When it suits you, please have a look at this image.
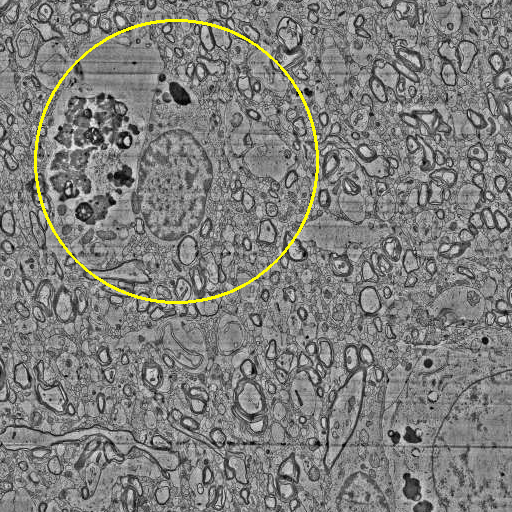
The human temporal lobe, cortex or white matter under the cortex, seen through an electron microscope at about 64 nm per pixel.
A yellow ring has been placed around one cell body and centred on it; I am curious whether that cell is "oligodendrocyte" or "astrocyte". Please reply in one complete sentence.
The ringed cell, an oligodendrocyte, has its body at the centre of the yellow ring.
